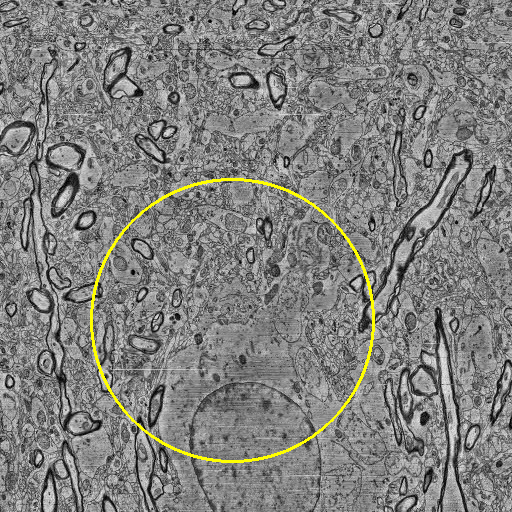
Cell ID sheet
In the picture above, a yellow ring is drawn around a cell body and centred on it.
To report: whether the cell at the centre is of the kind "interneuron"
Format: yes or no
no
